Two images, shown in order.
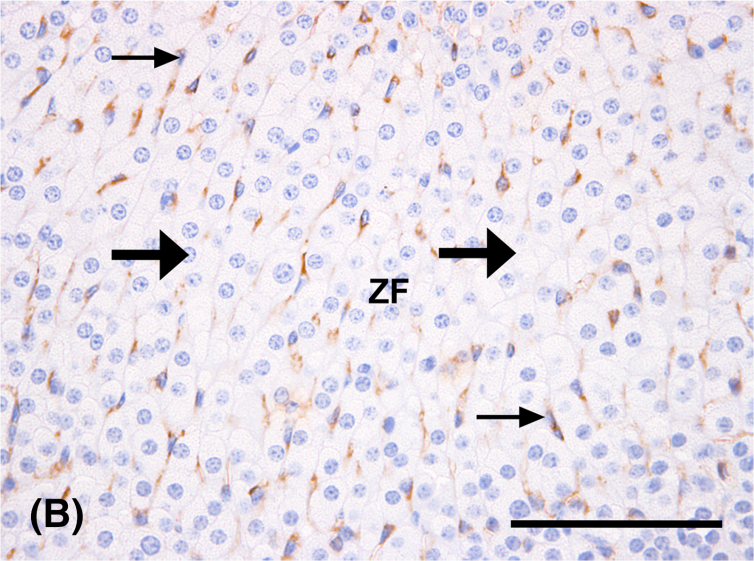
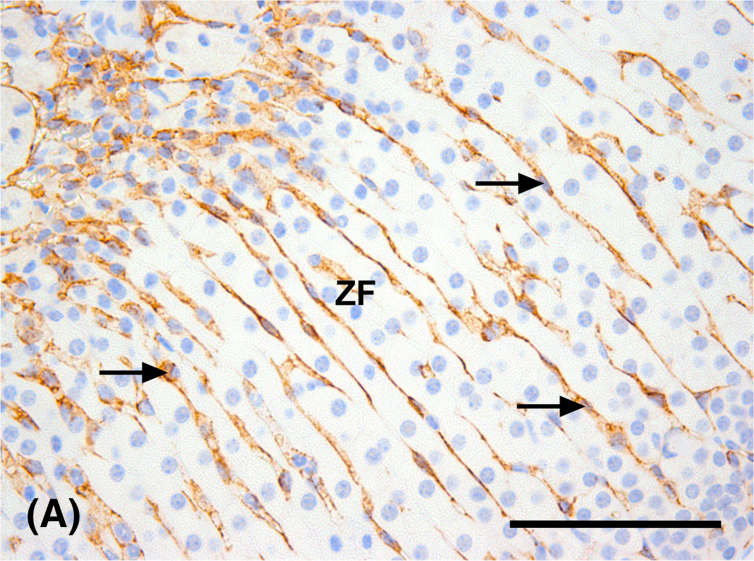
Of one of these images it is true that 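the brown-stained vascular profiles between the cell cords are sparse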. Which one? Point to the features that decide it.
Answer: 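The first image. First image: only scattered short brown profiles lie between the pale cells, with broad areas free of brown stain. Second image: many continuous brown strands run between nearly every column of pale cells.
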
